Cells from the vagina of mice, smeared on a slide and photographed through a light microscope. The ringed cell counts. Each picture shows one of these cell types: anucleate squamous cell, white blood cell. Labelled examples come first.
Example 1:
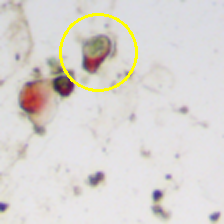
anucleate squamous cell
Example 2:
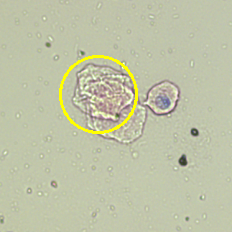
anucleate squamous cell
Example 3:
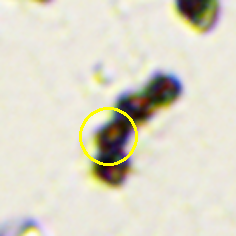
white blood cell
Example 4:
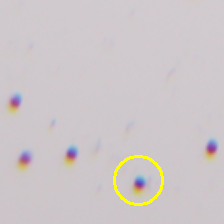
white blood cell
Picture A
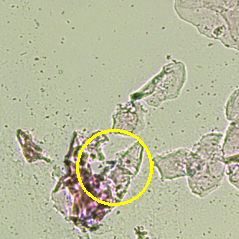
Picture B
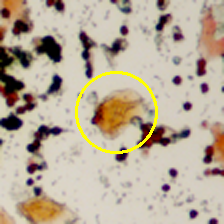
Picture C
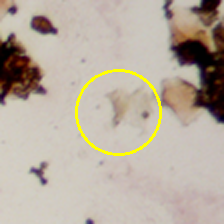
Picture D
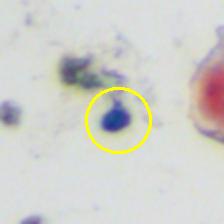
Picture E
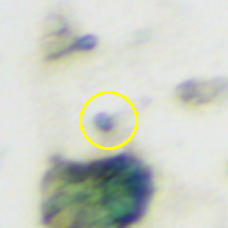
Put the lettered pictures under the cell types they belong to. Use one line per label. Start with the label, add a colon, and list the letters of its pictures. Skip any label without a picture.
anucleate squamous cell: A, B, C
white blood cell: D, E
